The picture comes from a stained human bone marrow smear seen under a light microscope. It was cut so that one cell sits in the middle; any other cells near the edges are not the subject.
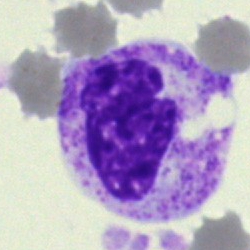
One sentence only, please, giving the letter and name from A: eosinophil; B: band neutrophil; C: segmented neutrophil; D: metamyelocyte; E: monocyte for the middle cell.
Answer key: option D, the middle cell being a metamyelocyte.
